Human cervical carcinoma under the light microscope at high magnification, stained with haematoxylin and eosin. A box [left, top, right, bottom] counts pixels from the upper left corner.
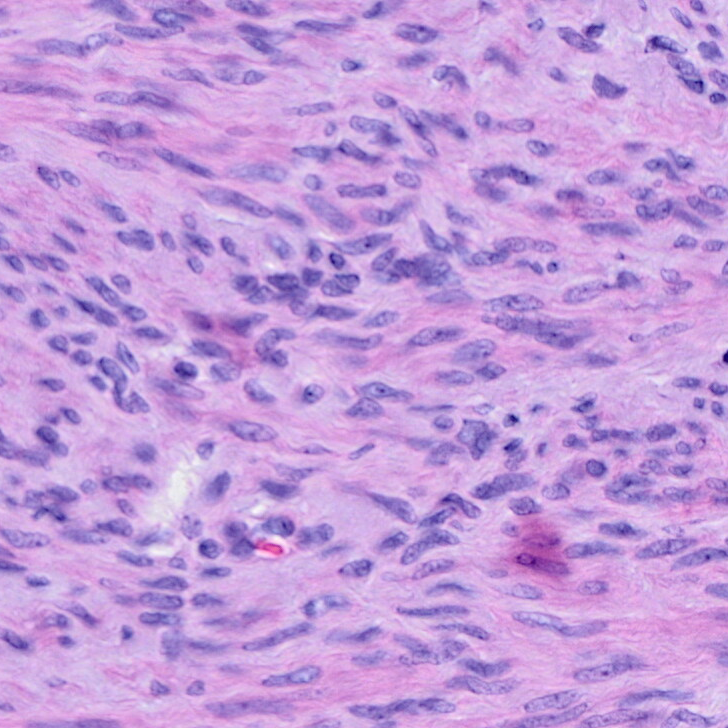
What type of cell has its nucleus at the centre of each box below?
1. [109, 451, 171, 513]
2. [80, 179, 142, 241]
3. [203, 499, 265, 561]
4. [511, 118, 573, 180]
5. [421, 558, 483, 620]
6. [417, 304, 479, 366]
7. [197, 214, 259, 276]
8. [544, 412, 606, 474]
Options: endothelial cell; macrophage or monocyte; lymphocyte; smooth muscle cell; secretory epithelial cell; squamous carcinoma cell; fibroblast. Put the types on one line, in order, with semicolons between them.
smooth muscle cell; smooth muscle cell; endothelial cell; smooth muscle cell; fibroblast; smooth muscle cell; fibroblast; smooth muscle cell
